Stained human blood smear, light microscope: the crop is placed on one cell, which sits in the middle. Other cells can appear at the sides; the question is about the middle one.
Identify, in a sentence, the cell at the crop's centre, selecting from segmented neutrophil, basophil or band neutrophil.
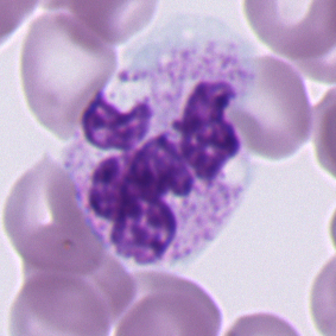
Regarding the central cell, it is a segmented neutrophil.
